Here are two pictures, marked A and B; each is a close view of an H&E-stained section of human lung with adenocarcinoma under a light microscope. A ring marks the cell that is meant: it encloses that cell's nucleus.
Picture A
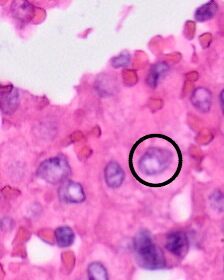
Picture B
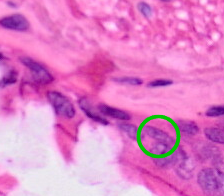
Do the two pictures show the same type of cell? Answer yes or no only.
no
